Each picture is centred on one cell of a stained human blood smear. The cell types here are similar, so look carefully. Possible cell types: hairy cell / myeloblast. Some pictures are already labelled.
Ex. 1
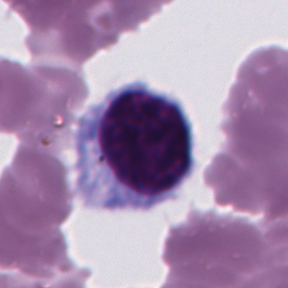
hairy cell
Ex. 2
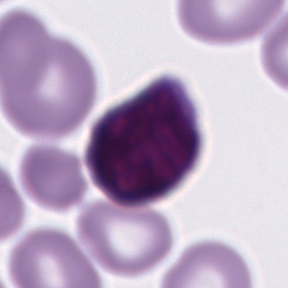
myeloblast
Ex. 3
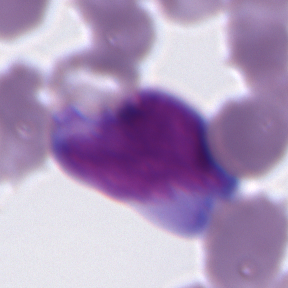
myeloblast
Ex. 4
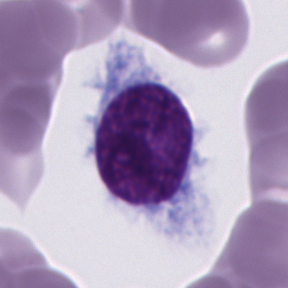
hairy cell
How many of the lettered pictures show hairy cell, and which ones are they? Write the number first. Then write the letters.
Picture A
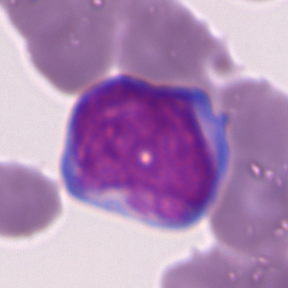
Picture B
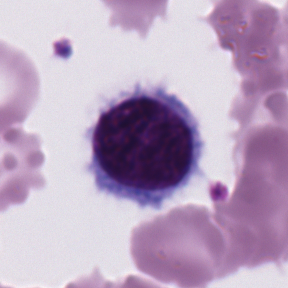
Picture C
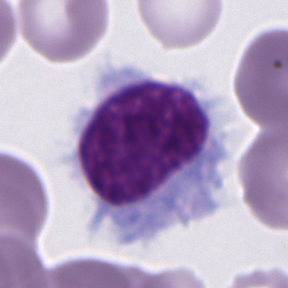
Count: 2 (B, C)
